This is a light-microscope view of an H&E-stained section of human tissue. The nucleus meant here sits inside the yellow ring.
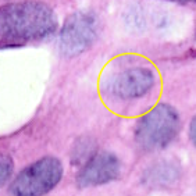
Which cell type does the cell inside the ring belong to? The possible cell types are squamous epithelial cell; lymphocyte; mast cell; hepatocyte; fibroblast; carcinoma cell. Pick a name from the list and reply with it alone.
carcinoma cell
